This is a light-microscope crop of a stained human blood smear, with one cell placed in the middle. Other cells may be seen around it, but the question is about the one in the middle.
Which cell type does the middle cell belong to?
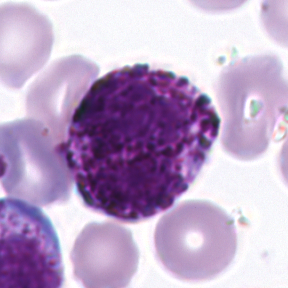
basophil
